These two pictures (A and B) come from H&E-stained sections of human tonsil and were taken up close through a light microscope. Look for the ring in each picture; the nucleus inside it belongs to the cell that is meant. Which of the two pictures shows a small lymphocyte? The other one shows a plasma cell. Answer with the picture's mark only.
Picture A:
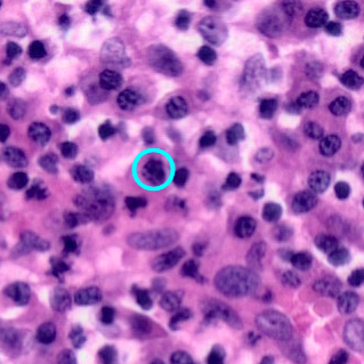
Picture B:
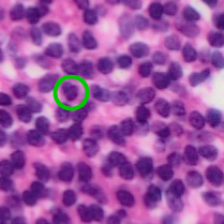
B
